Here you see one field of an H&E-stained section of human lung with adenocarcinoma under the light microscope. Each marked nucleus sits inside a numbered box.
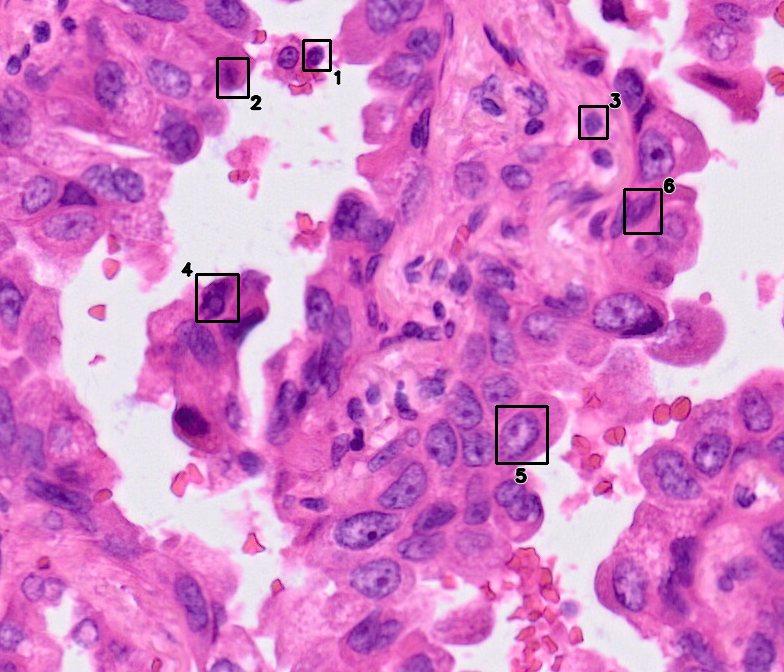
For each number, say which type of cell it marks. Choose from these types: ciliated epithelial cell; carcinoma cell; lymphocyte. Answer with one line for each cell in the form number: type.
1: lymphocyte
2: carcinoma cell
3: lymphocyte
4: carcinoma cell
5: carcinoma cell
6: carcinoma cell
